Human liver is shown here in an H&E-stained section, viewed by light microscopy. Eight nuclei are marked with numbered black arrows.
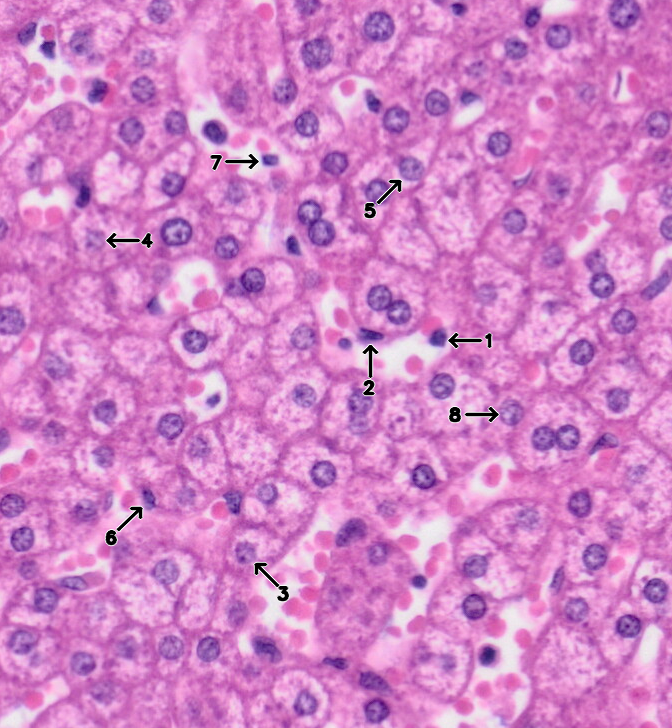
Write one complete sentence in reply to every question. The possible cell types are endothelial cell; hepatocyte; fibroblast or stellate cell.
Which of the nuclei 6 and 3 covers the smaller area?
The smaller nucleus is 6, and 3 covers roughly 1.5 times its area.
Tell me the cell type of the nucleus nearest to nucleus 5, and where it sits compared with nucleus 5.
The nearest nucleus is that of a hepatocyte and lies below and to the left of nucleus 5.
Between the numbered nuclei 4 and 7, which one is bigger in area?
Number 4 is larger; its area is about 1.5 times that of number 7.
